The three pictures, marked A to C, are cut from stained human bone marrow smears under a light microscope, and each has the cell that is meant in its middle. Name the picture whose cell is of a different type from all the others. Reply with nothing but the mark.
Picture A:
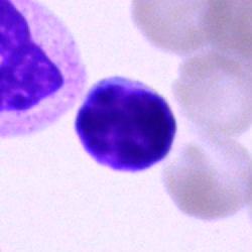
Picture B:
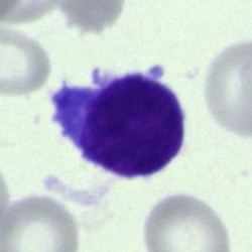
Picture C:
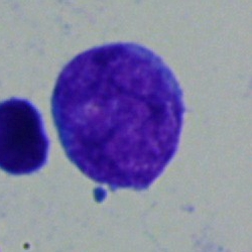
A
